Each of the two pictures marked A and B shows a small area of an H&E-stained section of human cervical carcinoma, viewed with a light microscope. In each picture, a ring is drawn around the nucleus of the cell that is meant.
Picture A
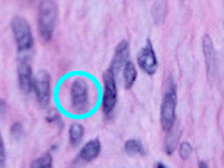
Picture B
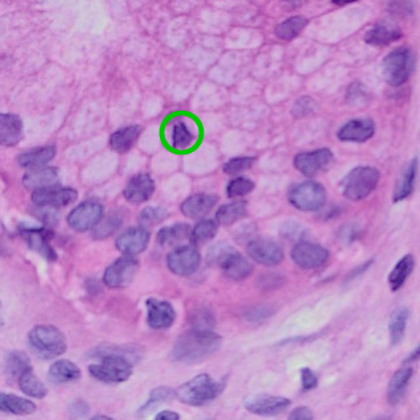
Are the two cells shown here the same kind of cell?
no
